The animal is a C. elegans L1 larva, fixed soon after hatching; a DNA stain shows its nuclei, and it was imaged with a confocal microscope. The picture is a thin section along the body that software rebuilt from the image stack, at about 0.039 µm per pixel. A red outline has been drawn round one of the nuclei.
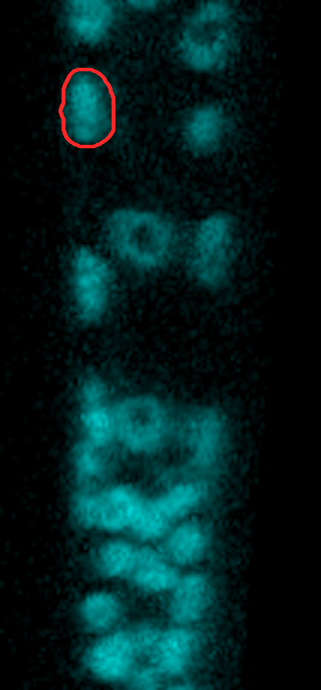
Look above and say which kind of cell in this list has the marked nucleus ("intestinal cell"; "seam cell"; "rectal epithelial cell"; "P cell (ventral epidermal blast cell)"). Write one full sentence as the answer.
The nucleus comes from a P cell (ventral epidermal blast cell).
